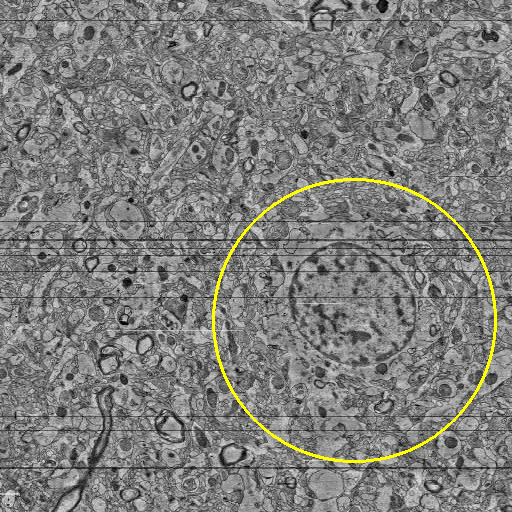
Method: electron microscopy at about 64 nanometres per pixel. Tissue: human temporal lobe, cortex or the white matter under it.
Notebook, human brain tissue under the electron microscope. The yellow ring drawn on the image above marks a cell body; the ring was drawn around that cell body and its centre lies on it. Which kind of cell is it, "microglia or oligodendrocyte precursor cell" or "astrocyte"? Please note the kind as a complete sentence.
The marked cell body is that of an astrocyte.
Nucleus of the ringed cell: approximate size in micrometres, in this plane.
In this plane the nucleus measures roughly 9 by 7 micrometres.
